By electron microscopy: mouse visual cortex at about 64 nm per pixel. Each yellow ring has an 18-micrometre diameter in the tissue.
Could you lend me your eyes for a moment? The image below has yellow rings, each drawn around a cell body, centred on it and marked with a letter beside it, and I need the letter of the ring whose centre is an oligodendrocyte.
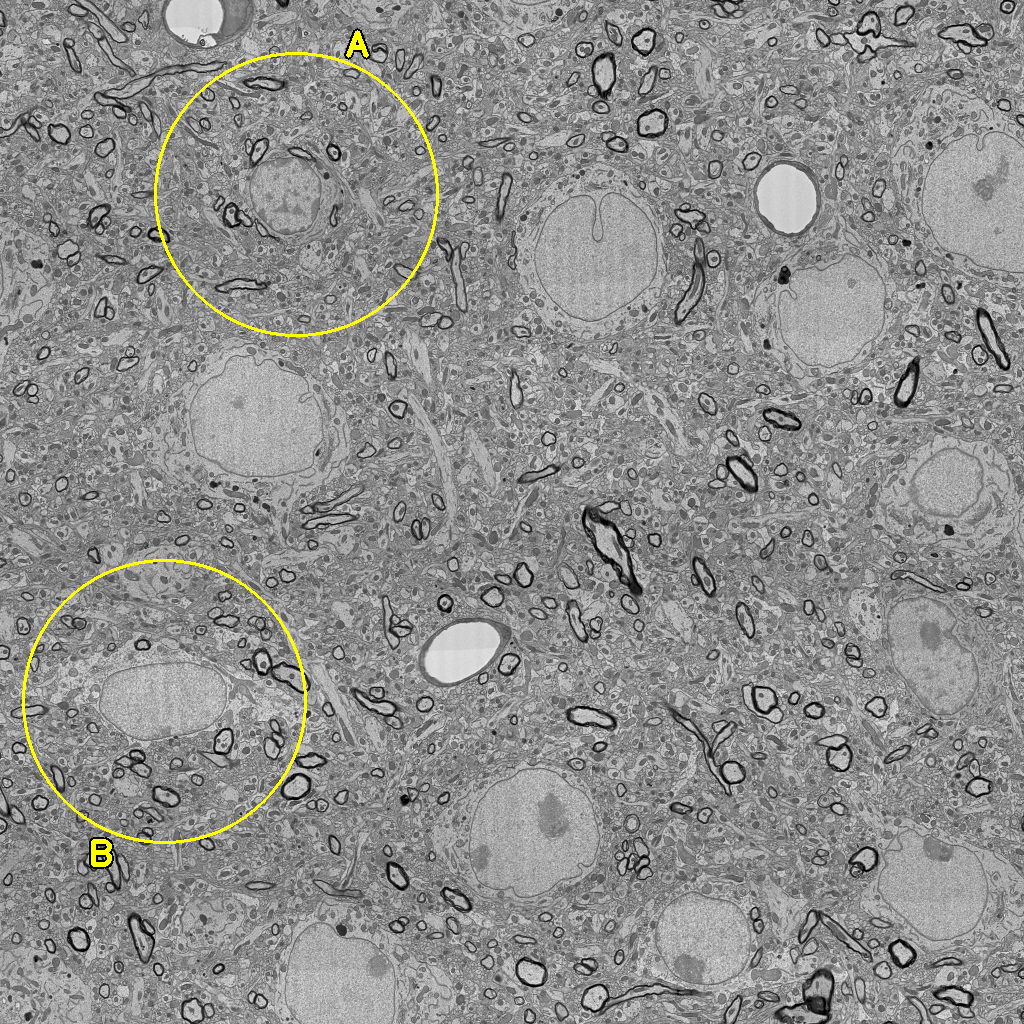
A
